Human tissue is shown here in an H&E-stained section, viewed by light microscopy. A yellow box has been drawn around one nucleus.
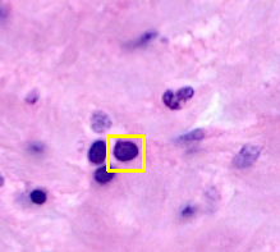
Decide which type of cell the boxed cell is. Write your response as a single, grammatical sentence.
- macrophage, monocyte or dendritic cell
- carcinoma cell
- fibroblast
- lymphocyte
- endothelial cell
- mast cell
In this section, the boxed cell is a lymphocyte.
